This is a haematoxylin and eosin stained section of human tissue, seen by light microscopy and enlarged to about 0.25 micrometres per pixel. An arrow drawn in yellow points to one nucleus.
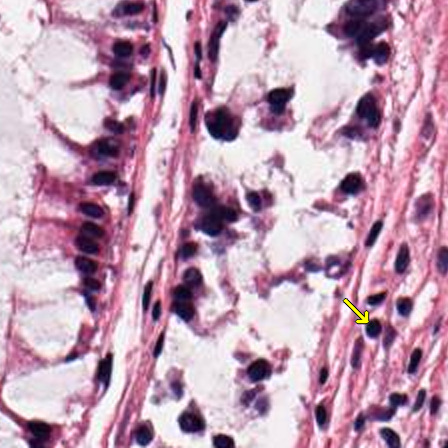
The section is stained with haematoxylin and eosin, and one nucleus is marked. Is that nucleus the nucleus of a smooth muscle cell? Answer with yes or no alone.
no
